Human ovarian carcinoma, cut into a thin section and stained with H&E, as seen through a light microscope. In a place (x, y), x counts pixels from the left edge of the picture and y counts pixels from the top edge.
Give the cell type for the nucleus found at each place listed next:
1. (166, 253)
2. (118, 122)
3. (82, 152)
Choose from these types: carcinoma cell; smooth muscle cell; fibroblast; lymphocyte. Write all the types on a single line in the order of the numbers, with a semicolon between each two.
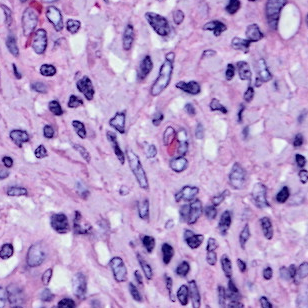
lymphocyte; fibroblast; fibroblast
